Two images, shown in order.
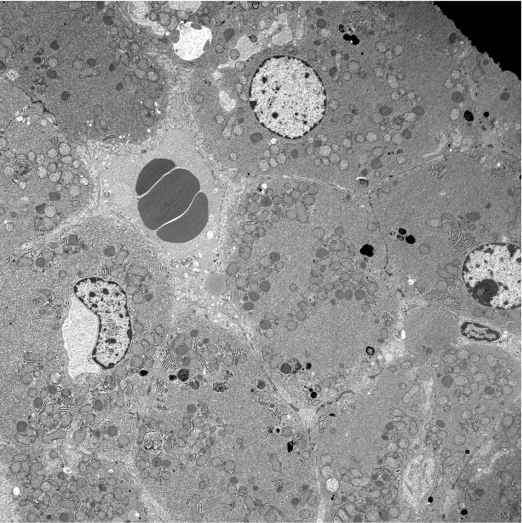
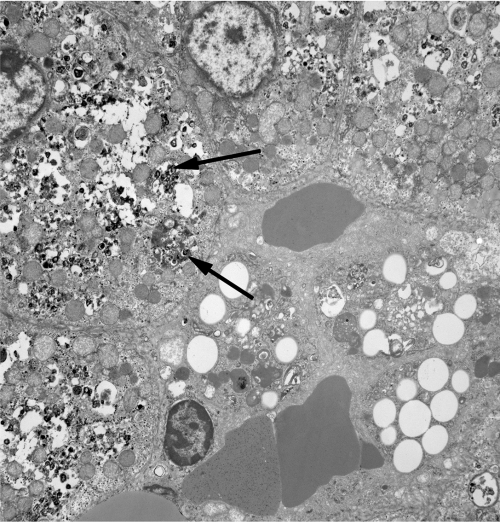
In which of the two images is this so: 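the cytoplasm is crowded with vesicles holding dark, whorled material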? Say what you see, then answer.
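Second image: large areas of cytoplasm are taken up by vesicles with dark, fragmented contents.
Hence: the second image.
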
